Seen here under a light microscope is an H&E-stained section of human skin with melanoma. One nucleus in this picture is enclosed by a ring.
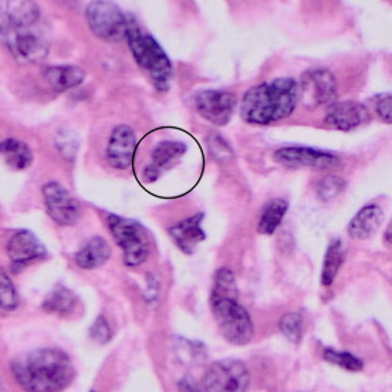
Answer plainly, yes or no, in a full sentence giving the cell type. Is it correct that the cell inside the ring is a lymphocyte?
No, the cell inside the ring is to be classified as a melanoma cell rather than a lymphocyte.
